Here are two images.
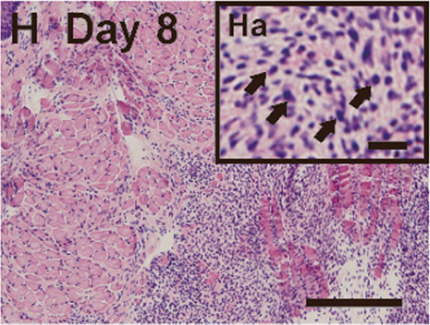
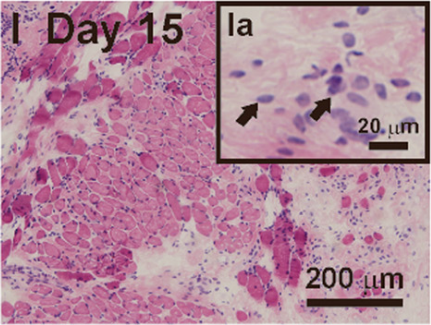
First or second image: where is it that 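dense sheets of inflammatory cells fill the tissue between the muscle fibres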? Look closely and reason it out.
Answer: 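Second image: pink muscle fibres with only scattered nuclei between them. First image: crowded dark purple nuclei fill wide areas between and around the muscle bundles. So: the first image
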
